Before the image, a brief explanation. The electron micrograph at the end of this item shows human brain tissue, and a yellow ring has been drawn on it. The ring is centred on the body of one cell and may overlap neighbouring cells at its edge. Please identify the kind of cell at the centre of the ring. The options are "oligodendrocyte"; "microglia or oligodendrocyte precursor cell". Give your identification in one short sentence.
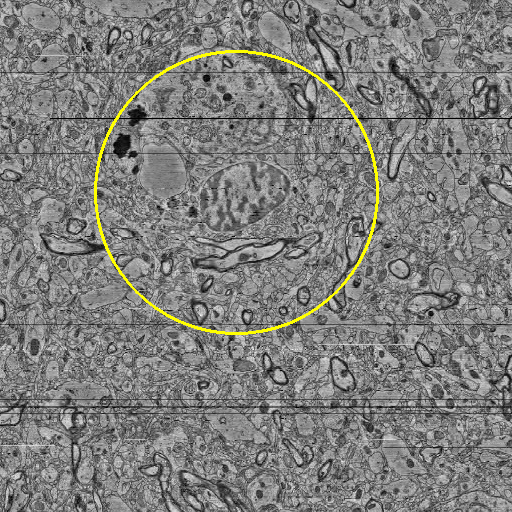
The ring has been placed around a microglial cell or oligodendrocyte precursor cell.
